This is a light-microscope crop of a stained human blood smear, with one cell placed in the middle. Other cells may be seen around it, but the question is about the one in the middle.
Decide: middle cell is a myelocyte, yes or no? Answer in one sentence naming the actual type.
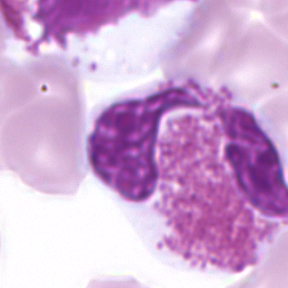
No, the cell in the middle is recognised as an eosinophil rather than a myelocyte.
